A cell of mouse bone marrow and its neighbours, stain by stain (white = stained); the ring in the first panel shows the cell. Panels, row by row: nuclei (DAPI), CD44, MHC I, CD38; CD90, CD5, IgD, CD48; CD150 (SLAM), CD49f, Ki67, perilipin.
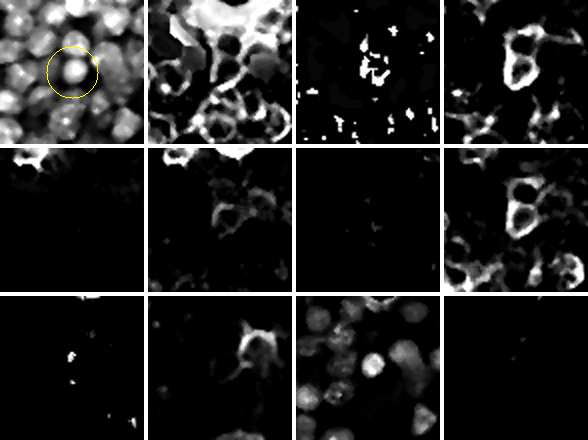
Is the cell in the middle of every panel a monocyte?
Yes, it is a monocyte.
